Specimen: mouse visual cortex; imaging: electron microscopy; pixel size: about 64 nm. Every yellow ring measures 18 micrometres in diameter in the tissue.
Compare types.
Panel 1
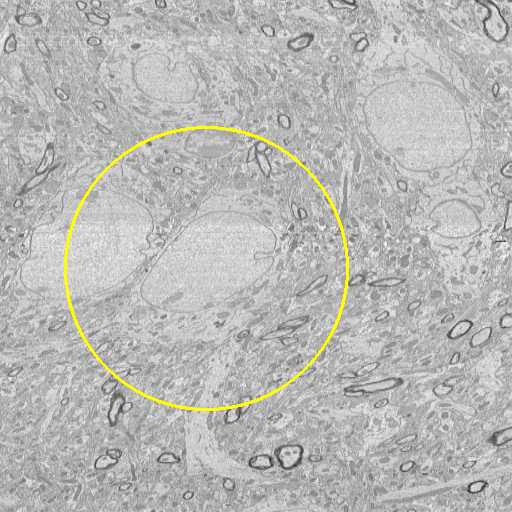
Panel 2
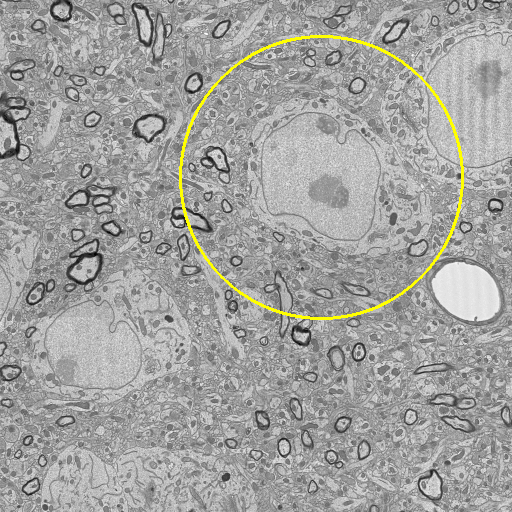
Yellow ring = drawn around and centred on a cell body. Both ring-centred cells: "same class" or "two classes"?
same class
